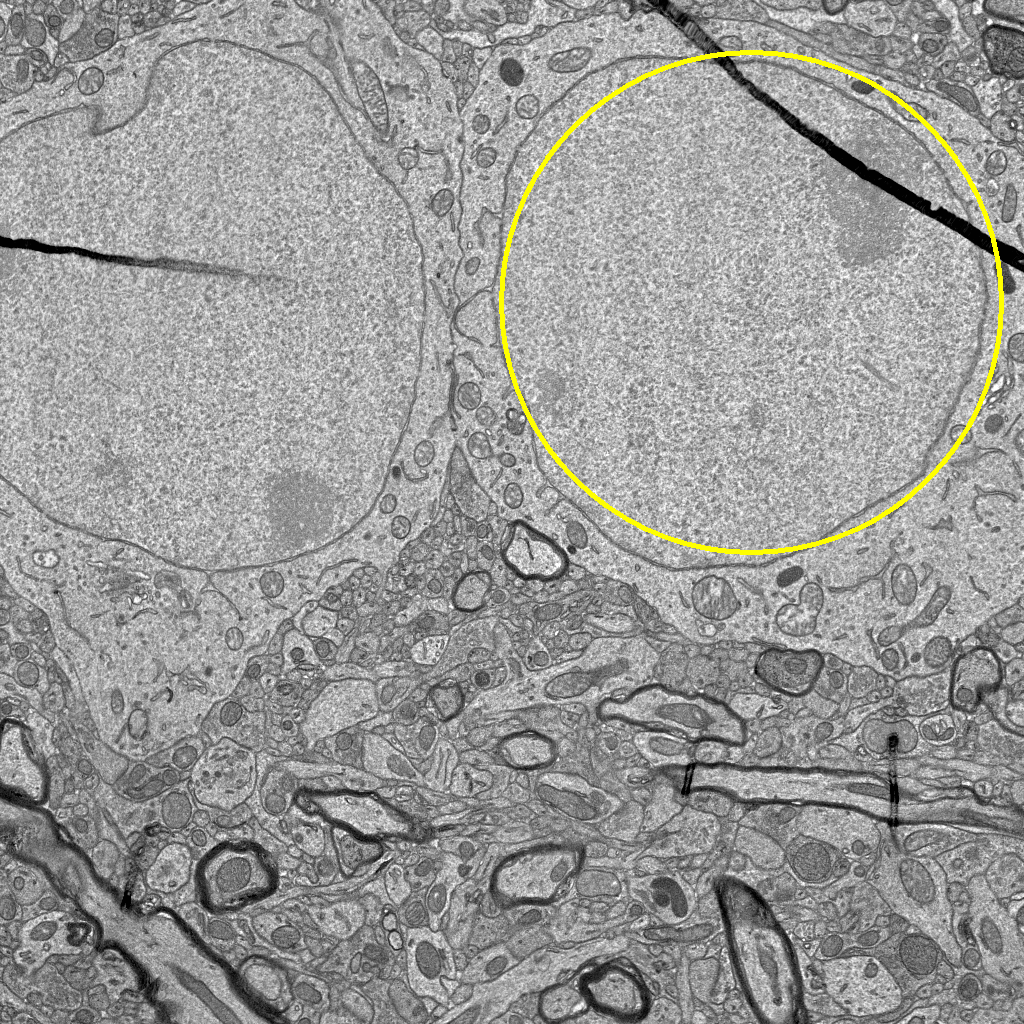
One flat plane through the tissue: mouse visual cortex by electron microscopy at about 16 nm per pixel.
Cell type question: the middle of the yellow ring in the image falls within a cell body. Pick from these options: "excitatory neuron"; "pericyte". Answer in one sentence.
The cell body at the center of the ring belongs to an excitatory neuron.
